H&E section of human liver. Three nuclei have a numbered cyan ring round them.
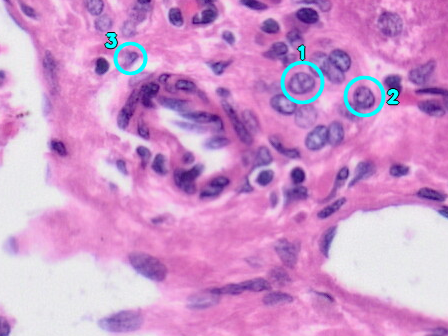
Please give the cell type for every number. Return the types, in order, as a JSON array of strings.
["cholangiocyte", "cholangiocyte", "fibroblast or stellate cell"]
